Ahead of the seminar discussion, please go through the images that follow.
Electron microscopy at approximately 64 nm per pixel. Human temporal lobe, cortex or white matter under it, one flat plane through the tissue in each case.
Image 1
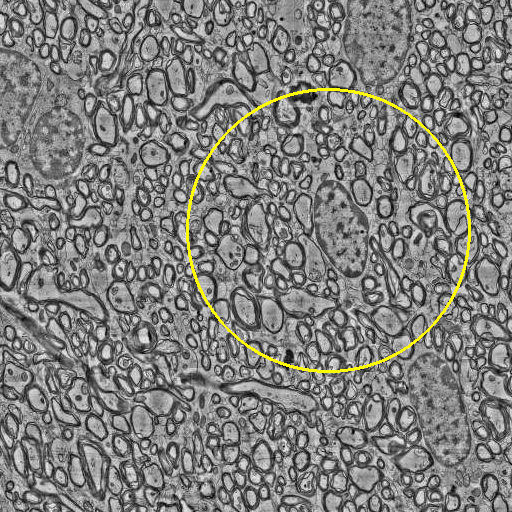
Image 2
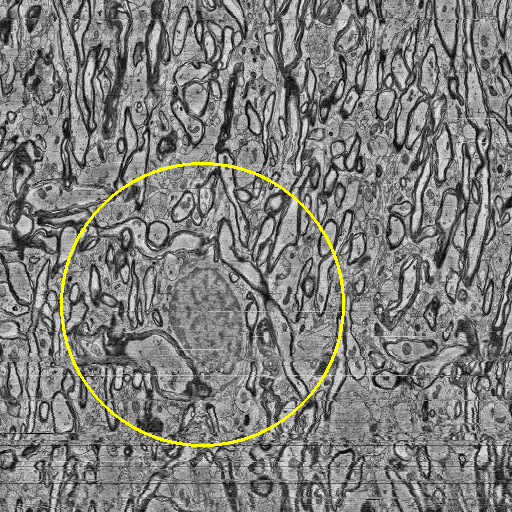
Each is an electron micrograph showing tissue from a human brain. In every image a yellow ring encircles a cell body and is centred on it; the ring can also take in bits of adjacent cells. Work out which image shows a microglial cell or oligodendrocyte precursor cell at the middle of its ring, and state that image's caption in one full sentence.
In Image 1, the ring's centre holds the cell you are looking for.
